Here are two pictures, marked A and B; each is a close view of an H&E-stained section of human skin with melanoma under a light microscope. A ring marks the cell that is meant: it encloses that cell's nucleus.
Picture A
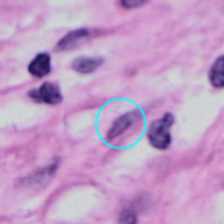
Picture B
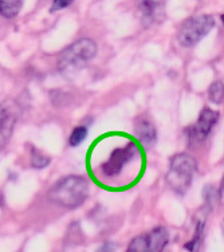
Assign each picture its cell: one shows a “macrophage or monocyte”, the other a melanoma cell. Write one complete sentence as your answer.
In picture A the cell is a “macrophage or monocyte”; in picture B, a melanoma cell.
